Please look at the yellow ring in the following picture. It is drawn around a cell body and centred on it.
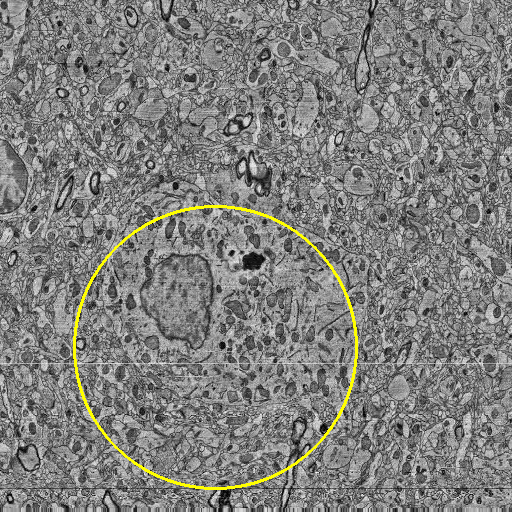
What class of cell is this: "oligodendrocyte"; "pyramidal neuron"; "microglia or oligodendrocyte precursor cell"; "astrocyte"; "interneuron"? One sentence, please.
The ring surrounds the cell body of an interneuron.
